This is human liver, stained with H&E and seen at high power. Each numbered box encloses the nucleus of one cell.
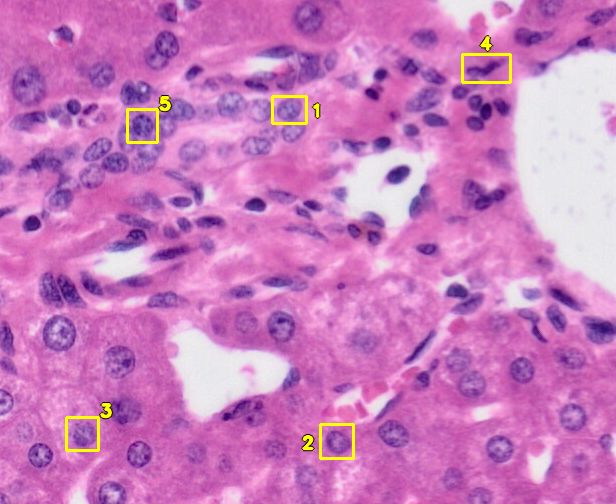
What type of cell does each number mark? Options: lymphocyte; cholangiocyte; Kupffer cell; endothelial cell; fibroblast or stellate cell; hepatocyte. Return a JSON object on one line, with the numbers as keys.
{"1": "cholangiocyte", "2": "hepatocyte", "3": "hepatocyte", "4": "fibroblast or stellate cell", "5": "cholangiocyte"}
